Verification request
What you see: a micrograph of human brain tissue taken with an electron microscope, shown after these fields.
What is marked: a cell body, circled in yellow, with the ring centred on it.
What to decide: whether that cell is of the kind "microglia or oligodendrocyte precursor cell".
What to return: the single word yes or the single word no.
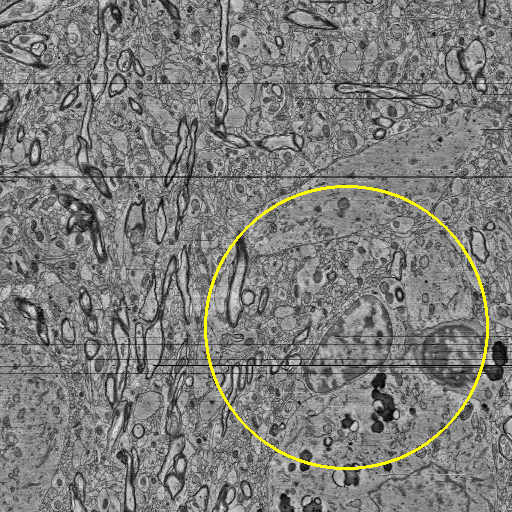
yes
